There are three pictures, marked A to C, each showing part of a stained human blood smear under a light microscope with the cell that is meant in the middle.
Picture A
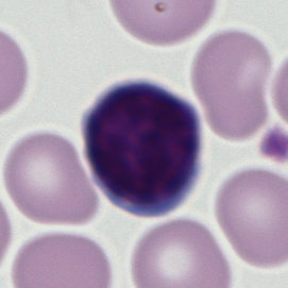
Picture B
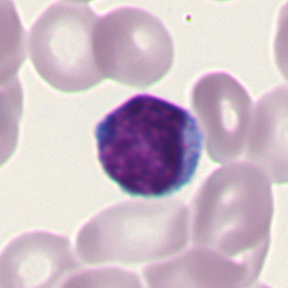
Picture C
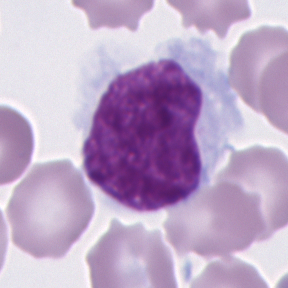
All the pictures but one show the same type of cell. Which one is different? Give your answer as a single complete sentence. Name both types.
Picture C is the odd one out: it shows a hairy cell, while the others show typical lymphocytes.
